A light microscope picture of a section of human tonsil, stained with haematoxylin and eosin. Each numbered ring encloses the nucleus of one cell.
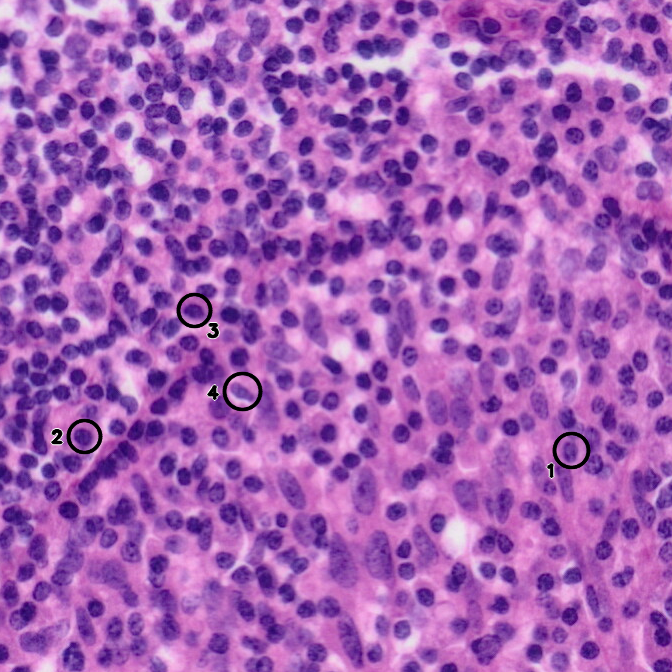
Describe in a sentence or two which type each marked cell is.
Cell 1 is a plasma cell, cell 2 is a plasma cell, cell 3 is a plasma cell and cell 4 is a squamous epithelial cell.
